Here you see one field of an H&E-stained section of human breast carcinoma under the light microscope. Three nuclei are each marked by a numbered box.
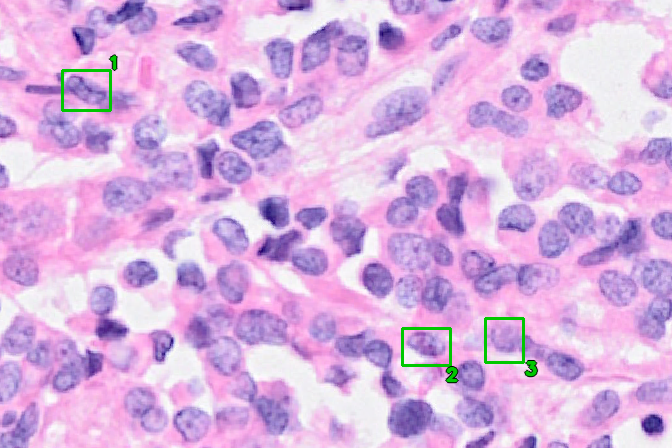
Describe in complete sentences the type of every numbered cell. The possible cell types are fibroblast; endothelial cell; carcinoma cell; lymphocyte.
Cell 1 is an endothelial cell, cell 2 is a carcinoma cell and cell 3 is a carcinoma cell.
